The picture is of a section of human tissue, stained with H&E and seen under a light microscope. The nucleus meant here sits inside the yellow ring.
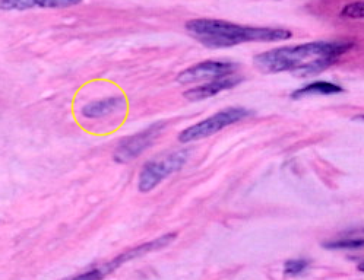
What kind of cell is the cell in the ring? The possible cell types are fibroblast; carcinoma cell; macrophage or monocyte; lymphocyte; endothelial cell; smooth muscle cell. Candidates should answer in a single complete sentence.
In the tissue at hand, the cell in the ring is a smooth muscle cell.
